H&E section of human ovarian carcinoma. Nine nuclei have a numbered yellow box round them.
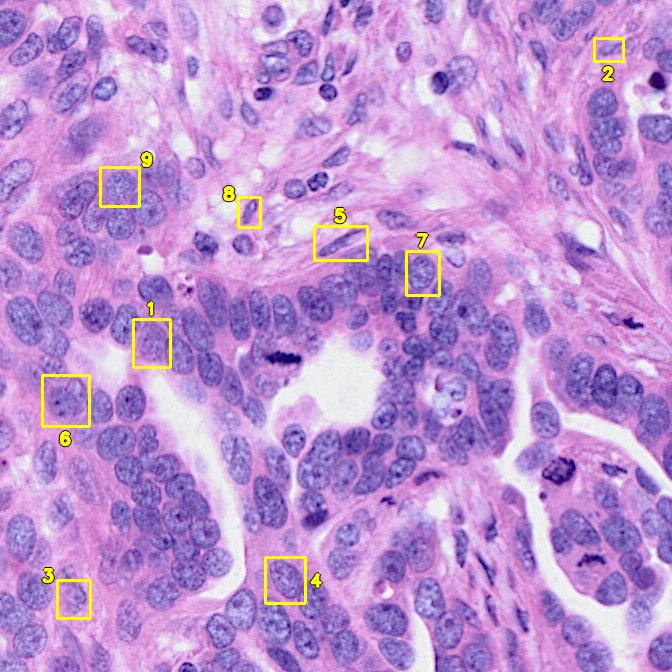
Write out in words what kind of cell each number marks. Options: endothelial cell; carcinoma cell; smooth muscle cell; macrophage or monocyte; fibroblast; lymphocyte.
Cell 1 is a carcinoma cell, cell 2 is a fibroblast, cell 3 is a fibroblast, cell 4 is a carcinoma cell, cell 5 is a fibroblast, cell 6 is a carcinoma cell, cell 7 is a carcinoma cell, cell 8 is a fibroblast and cell 9 is a carcinoma cell.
